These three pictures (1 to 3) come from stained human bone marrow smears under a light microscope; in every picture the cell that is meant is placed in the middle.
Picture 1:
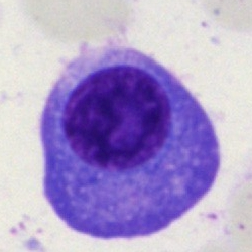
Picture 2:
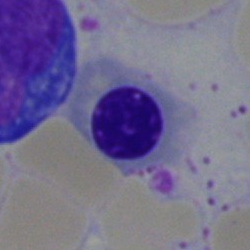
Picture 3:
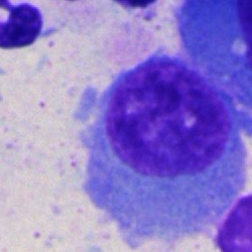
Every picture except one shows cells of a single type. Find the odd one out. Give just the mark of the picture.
2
